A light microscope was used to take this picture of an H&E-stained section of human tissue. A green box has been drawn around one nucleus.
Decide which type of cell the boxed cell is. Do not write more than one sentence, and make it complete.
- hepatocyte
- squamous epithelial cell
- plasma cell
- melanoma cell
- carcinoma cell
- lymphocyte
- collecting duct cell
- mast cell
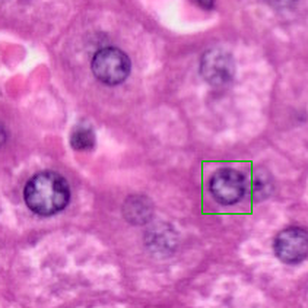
In this field of tissue, the boxed cell is a hepatocyte.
